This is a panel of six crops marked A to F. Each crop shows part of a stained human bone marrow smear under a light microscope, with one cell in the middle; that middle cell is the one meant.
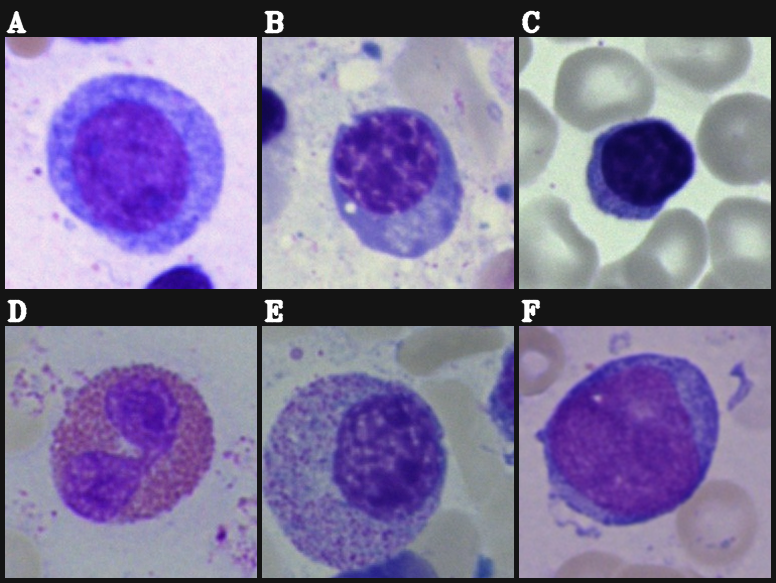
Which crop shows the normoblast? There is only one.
B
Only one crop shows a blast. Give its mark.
F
